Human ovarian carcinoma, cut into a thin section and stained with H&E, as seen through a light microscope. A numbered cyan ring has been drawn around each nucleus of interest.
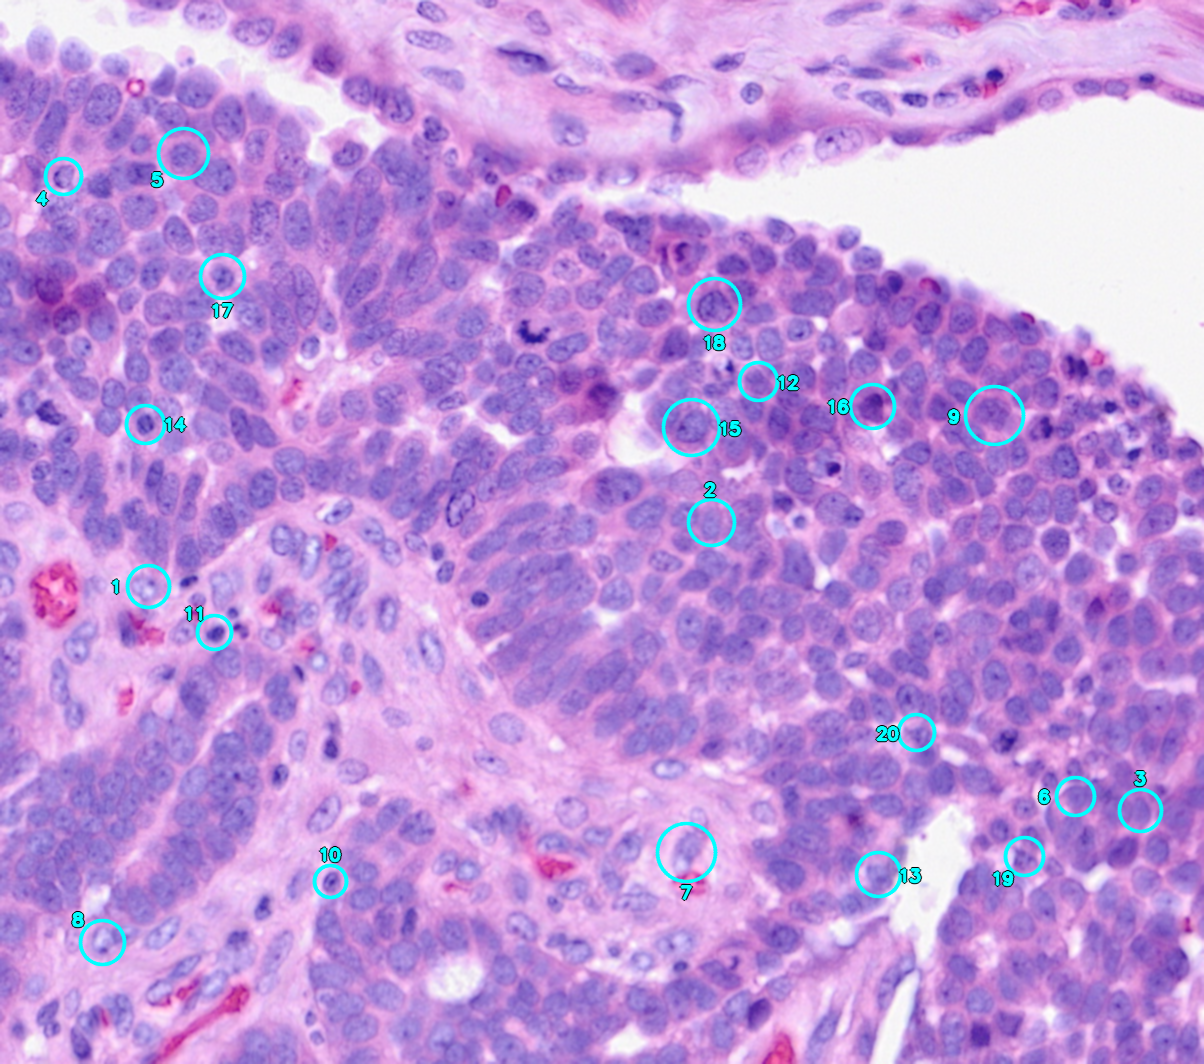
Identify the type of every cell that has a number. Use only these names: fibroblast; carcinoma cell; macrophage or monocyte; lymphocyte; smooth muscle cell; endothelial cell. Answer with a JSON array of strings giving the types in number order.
["fibroblast", "carcinoma cell", "carcinoma cell", "macrophage or monocyte", "carcinoma cell", "carcinoma cell", "endothelial cell", "fibroblast", "carcinoma cell", "lymphocyte", "lymphocyte", "carcinoma cell", "carcinoma cell", "lymphocyte", "carcinoma cell", "carcinoma cell", "macrophage or monocyte", "carcinoma cell", "macrophage or monocyte", "macrophage or monocyte"]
